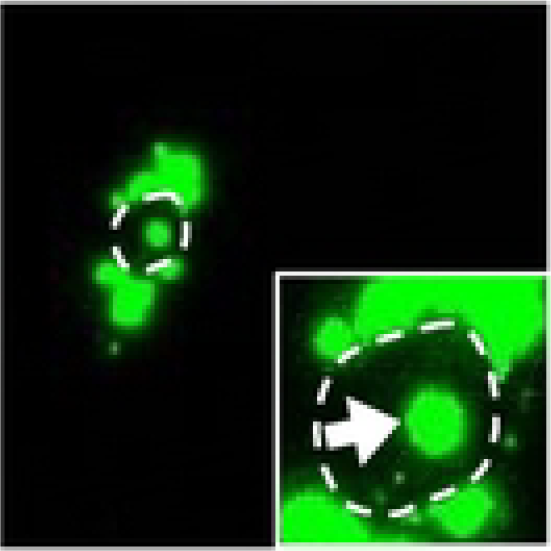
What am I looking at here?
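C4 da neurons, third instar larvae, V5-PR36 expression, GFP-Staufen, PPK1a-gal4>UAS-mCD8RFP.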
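The green cytoplasm is clumped into bright patches around the nucleus. In the enlarged inset a large bright round green punctum, marked by a white arrow, lies within the nuclear outline.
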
